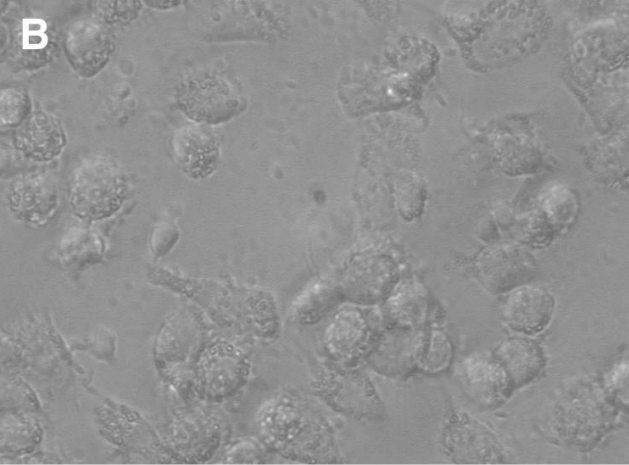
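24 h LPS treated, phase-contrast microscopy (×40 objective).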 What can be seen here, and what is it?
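Most cells are large and rounded to irregular, with a cytoplasm crowded with many small round vacuoles or granules that give them a bubbly look. Some cells spread out with short, ragged processes along the surface.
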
